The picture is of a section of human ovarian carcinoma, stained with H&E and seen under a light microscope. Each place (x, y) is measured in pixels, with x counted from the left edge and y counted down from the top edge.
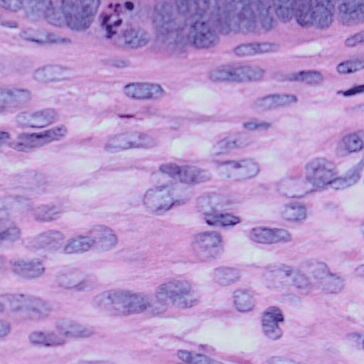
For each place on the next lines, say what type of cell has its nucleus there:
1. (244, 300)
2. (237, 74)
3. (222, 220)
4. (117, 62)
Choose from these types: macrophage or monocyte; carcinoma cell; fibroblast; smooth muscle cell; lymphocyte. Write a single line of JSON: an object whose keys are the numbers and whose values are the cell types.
{"1": "fibroblast", "2": "fibroblast", "3": "macrophage or monocyte", "4": "fibroblast"}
